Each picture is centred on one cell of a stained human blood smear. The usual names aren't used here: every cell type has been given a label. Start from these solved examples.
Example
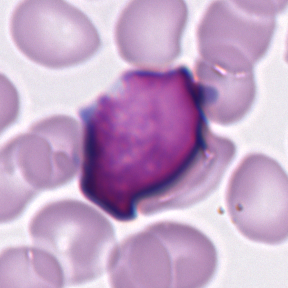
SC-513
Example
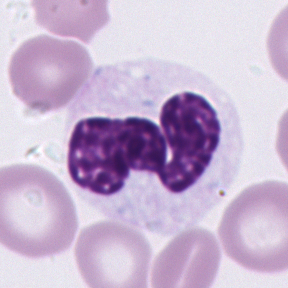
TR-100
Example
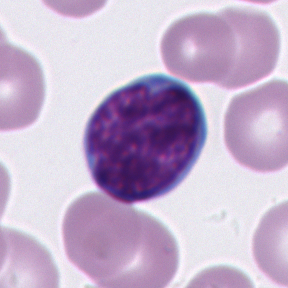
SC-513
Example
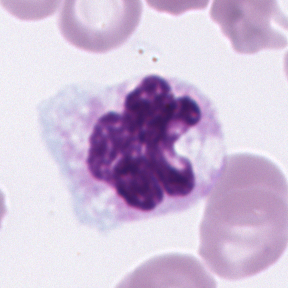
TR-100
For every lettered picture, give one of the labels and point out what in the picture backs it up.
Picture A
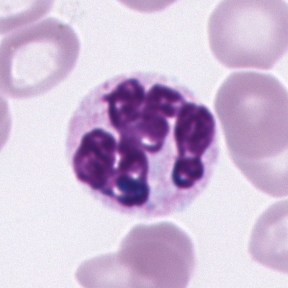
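Answer: TR-100. The nucleus is divided into several separate lobes.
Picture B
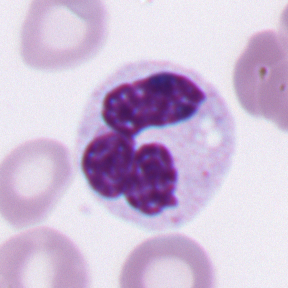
Answer: TR-100. The nucleus is divided into three lobes.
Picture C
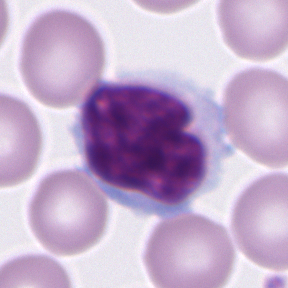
Answer: SC-513. The cytoplasm is a narrow pale blue rim around the nucleus.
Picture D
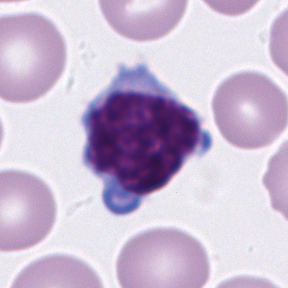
Answer: SC-513. The nucleus is a single unlobed mass.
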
